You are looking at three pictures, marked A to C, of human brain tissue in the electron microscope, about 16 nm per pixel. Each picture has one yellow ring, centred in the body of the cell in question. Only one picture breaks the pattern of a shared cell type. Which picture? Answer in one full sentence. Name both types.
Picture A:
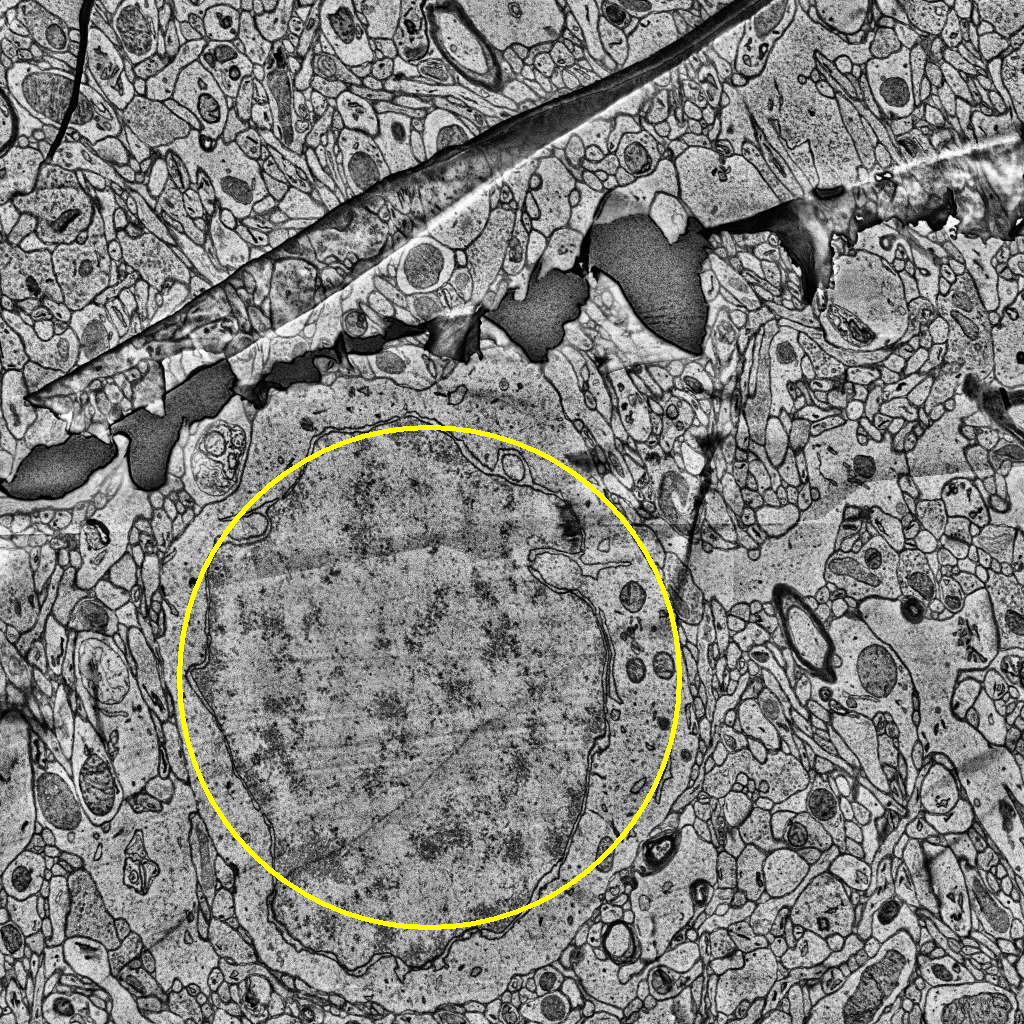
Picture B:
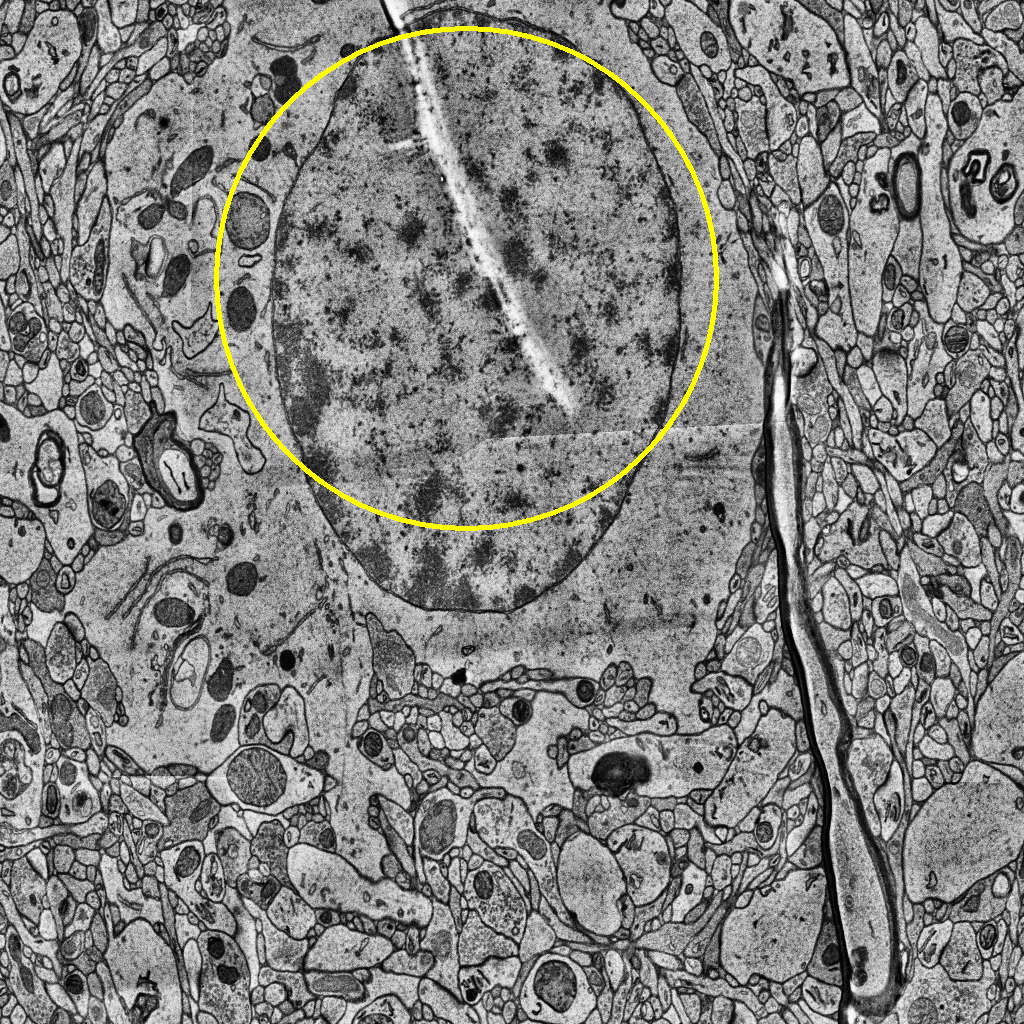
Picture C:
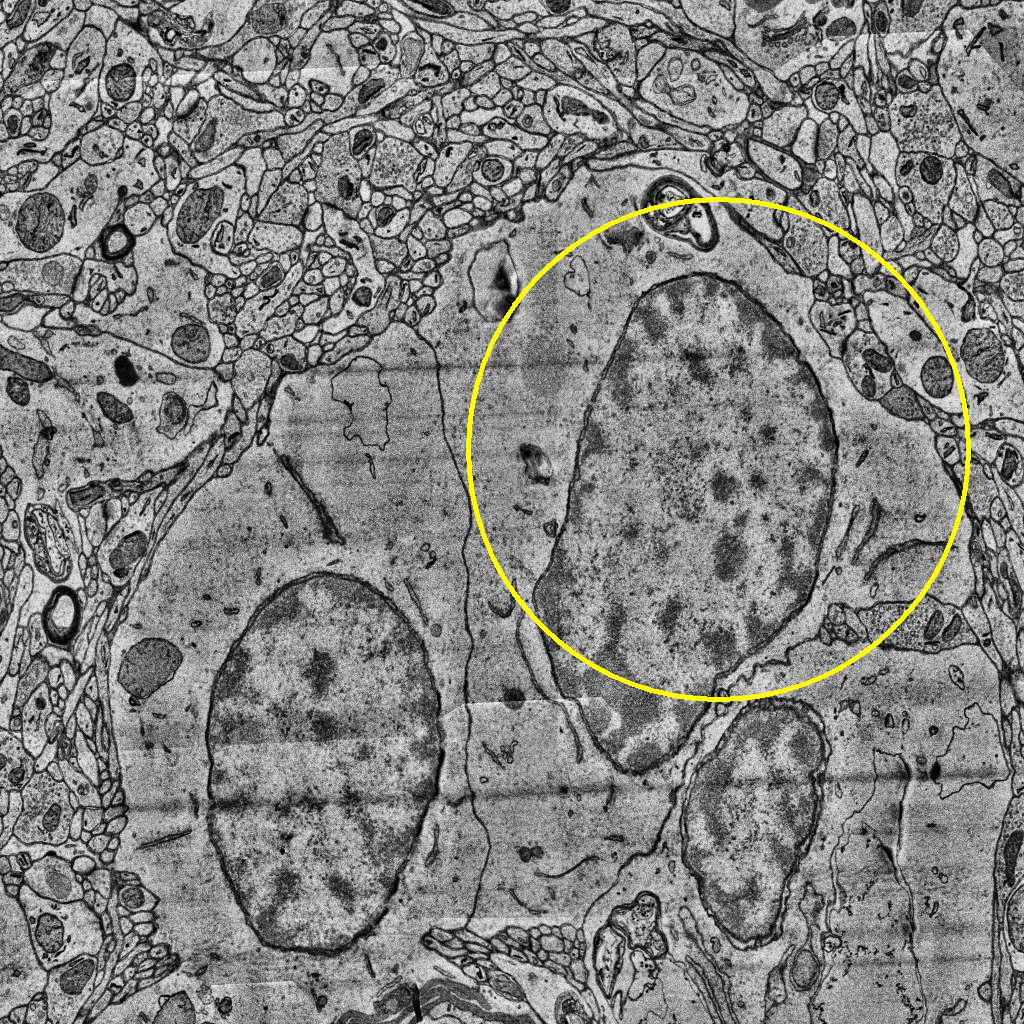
The different one is picture A; it shows an interneuron, whereas all the others show astrocytes.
